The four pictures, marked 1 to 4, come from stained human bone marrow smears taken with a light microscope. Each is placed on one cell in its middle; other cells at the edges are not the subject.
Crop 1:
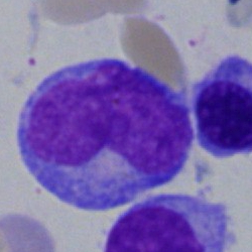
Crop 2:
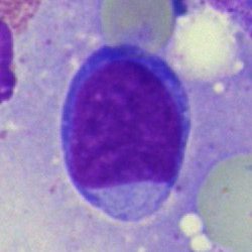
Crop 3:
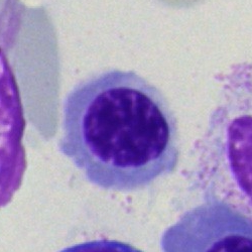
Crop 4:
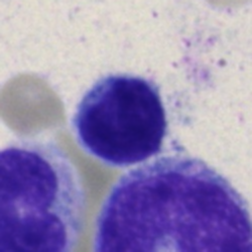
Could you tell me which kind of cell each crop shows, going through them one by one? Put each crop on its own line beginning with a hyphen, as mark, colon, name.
- 1: blast
- 2: blast
- 3: erythroblast
- 4: lymphocyte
